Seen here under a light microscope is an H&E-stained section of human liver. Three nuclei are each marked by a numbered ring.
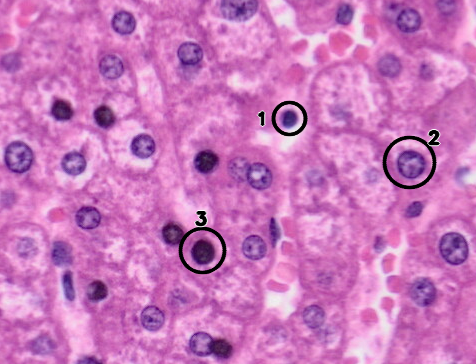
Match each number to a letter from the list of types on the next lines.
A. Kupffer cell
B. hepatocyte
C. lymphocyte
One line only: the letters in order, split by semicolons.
C; B; B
